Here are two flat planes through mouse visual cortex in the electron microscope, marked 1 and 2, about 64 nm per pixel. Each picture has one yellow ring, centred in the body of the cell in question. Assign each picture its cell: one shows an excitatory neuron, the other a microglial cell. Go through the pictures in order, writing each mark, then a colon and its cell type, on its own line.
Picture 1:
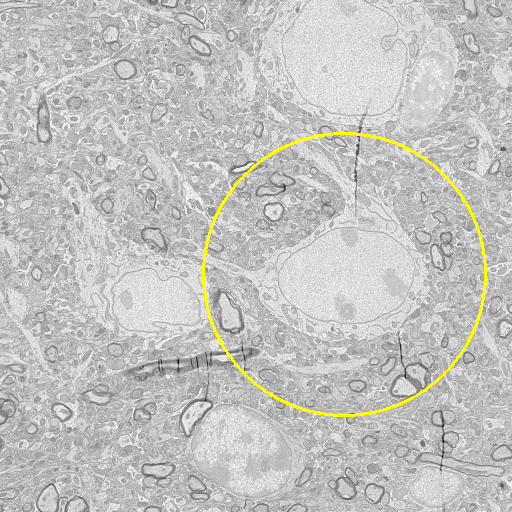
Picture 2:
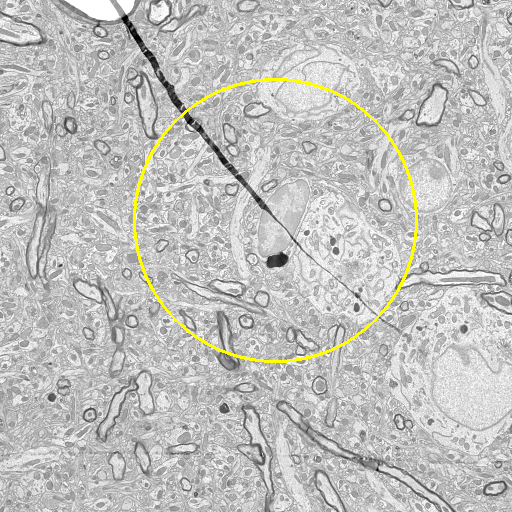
1: excitatory neuron
2: microglial cell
